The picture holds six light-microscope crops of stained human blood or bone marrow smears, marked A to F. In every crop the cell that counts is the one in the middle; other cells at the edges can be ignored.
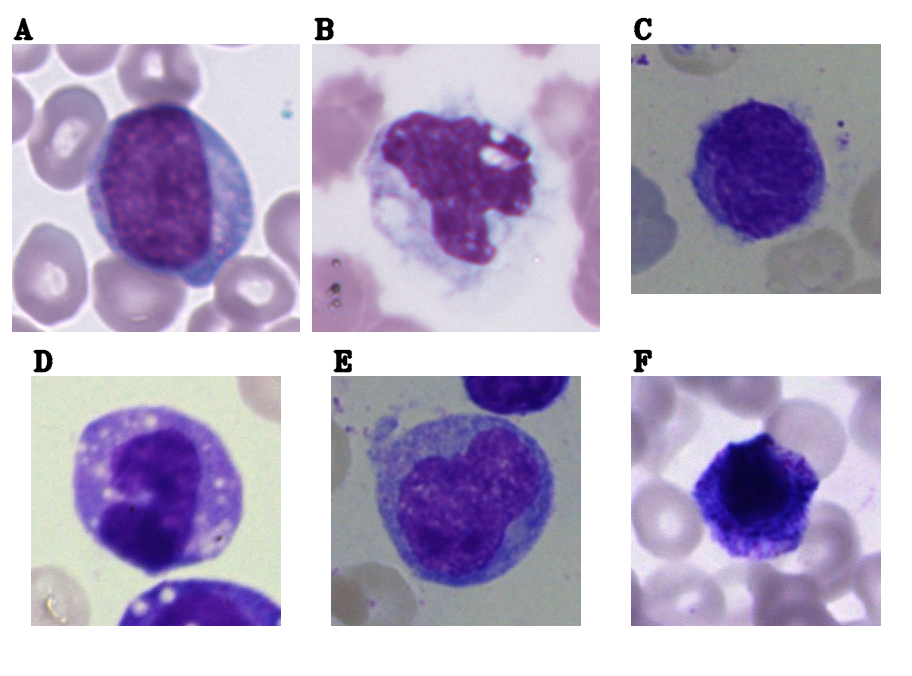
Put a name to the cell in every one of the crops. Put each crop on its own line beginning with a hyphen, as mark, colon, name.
- A: promyelocyte
- B: monocyte
- C: monocyte
- D: monocyte
- E: monocyte
- F: promyelocyte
